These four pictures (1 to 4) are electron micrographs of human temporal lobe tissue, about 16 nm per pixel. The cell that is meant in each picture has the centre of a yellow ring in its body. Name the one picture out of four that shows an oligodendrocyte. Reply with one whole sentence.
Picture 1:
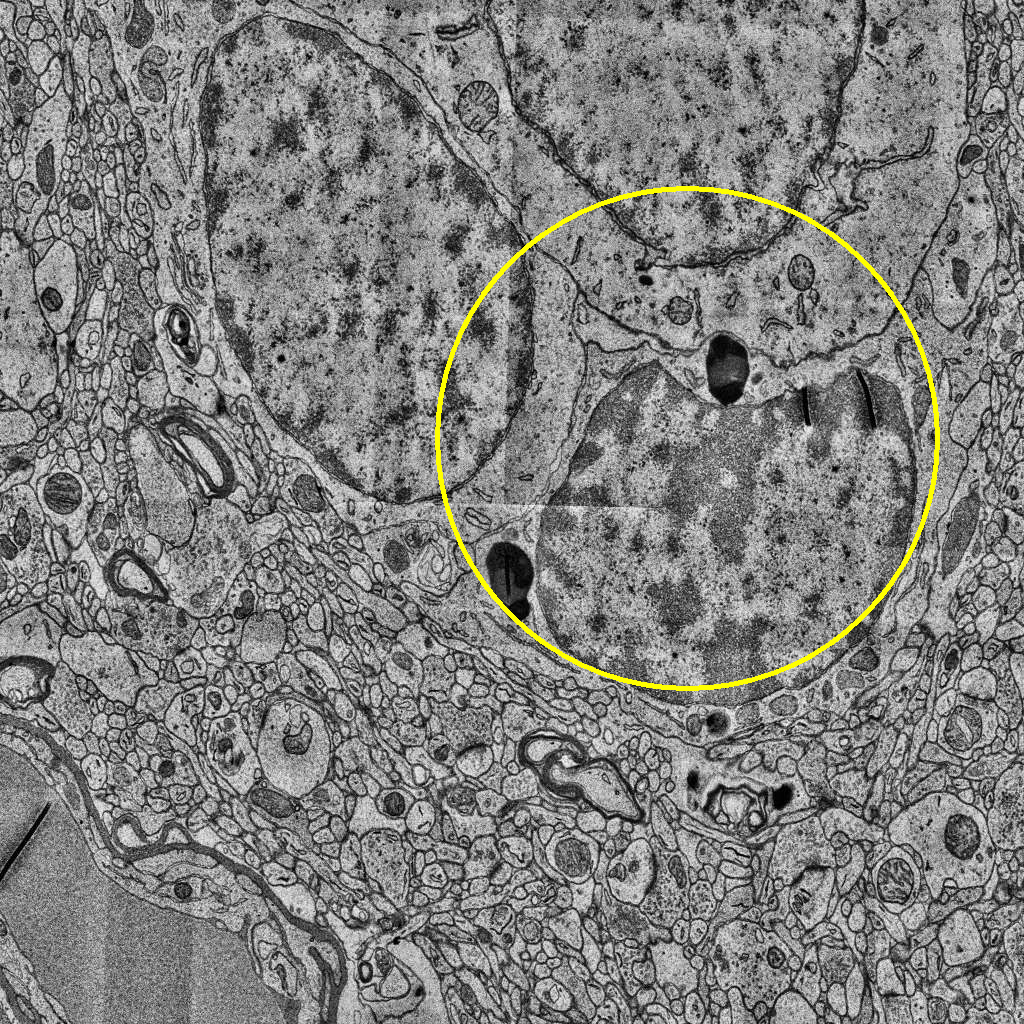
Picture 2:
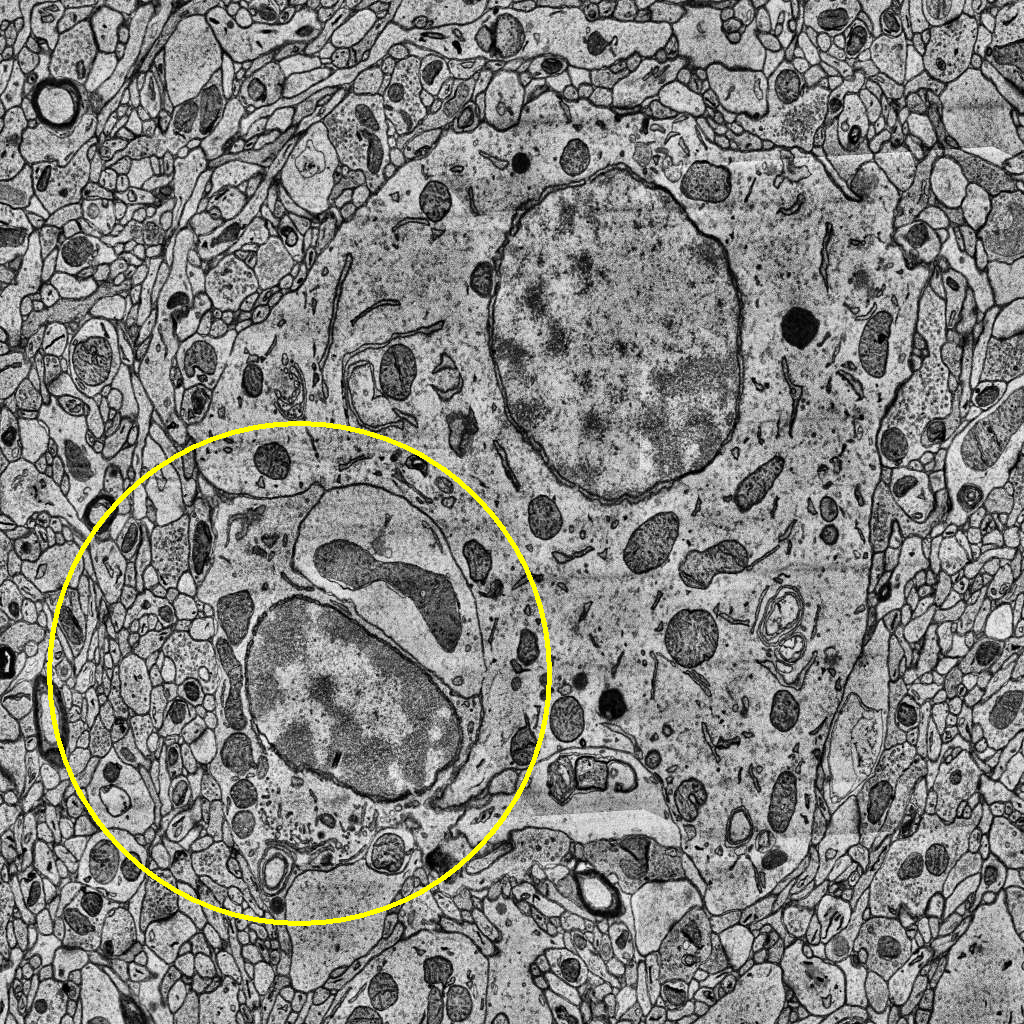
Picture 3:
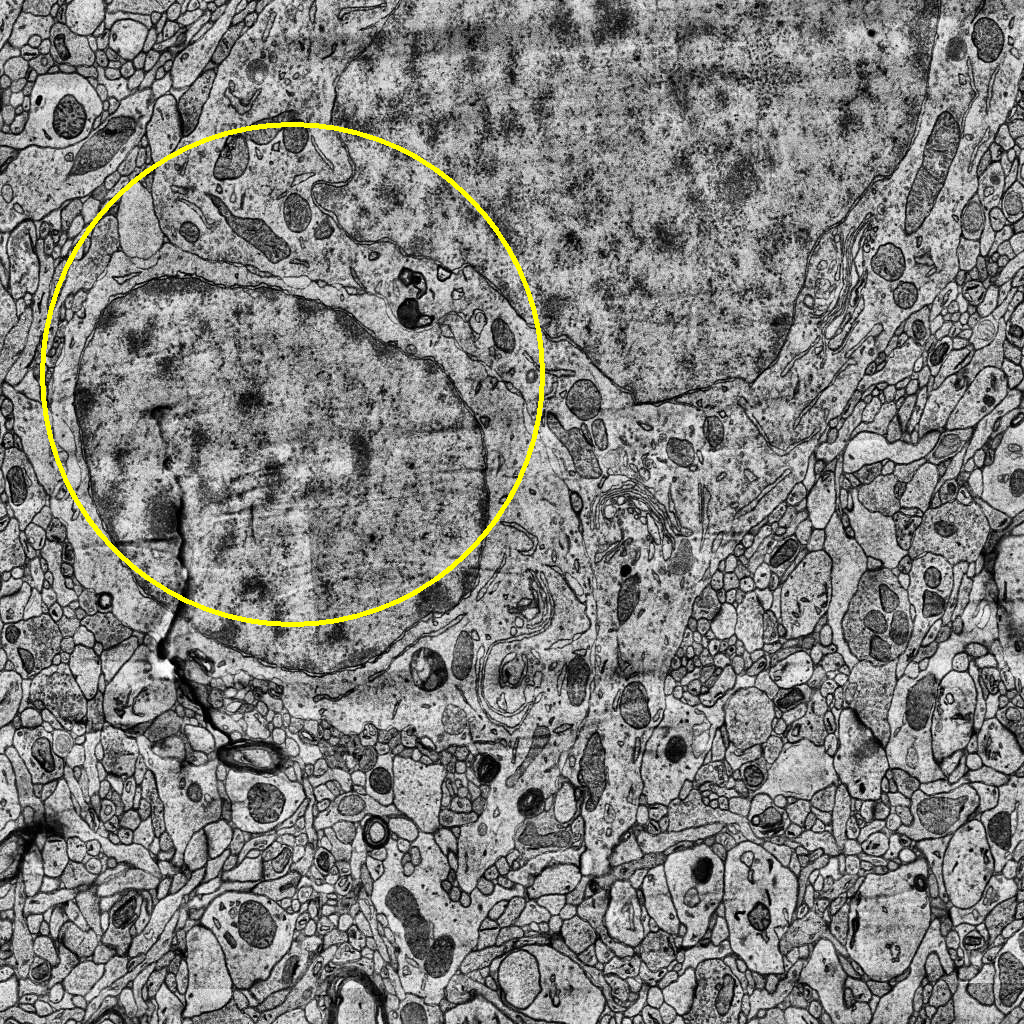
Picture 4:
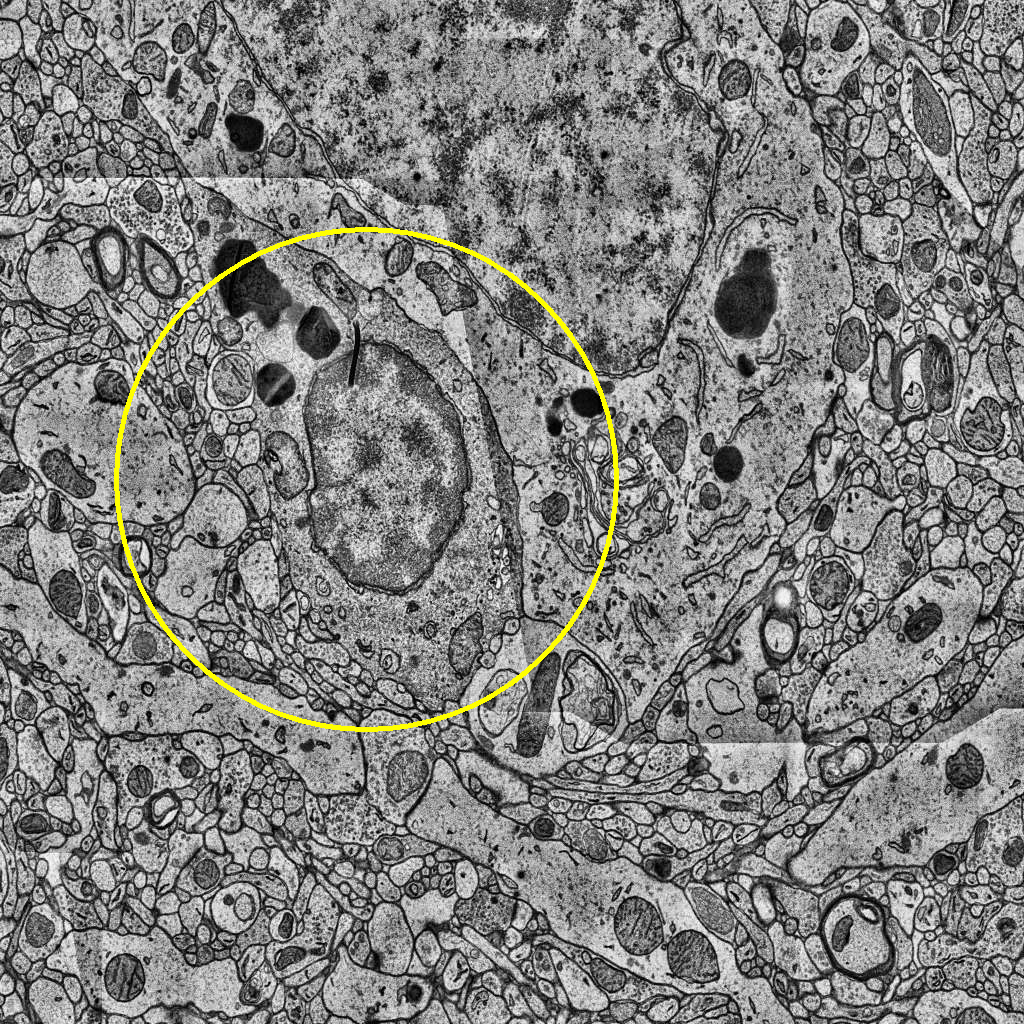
It is picture 4 that shows the oligodendrocyte.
